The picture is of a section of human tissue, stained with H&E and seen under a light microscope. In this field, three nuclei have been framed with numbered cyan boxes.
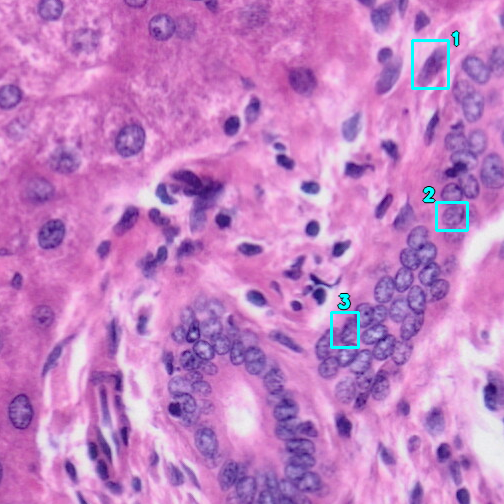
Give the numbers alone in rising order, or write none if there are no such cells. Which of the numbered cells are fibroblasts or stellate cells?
1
